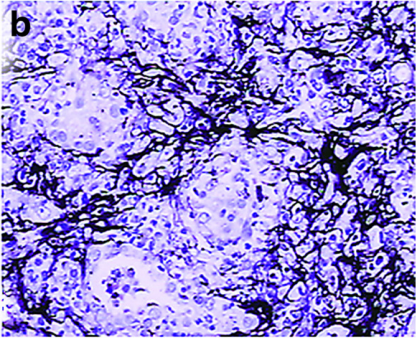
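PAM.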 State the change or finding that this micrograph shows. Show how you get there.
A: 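Black-stained fibres run in irregular, swirling strands between cells. Many small cells lie among the fibres. That points to this answer: storiform fibrosis.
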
